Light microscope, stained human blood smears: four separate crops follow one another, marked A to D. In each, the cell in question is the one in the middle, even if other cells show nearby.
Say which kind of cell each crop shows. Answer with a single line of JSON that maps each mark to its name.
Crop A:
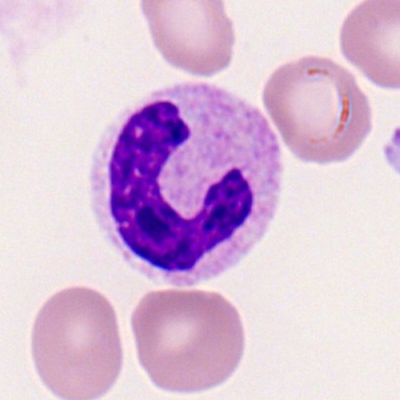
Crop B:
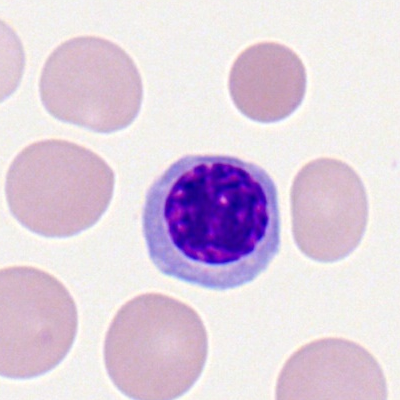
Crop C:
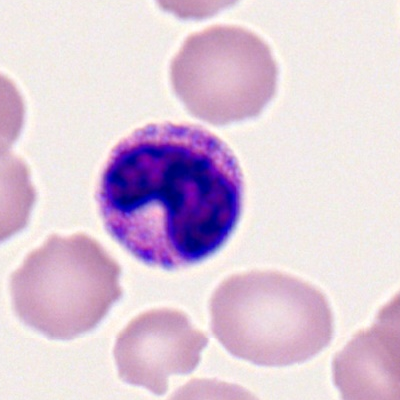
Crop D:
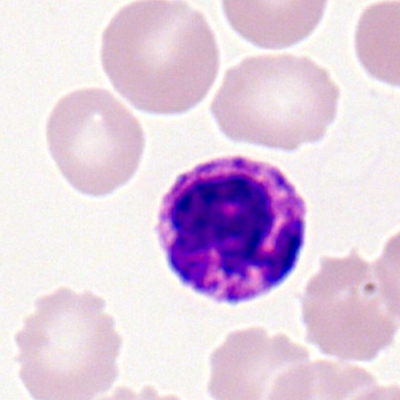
{"A": "band neutrophil", "B": "normoblast", "C": "band neutrophil", "D": "basophil"}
